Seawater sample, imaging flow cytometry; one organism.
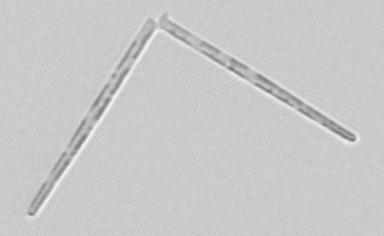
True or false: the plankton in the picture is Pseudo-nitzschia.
False; it is Thalassionema.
